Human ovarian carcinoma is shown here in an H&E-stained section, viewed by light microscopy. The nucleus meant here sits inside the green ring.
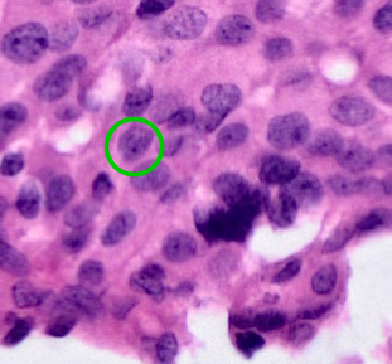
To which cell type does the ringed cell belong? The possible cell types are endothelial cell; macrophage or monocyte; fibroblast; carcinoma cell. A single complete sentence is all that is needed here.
As far as its identity is concerned, the ringed cell is a carcinoma cell.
